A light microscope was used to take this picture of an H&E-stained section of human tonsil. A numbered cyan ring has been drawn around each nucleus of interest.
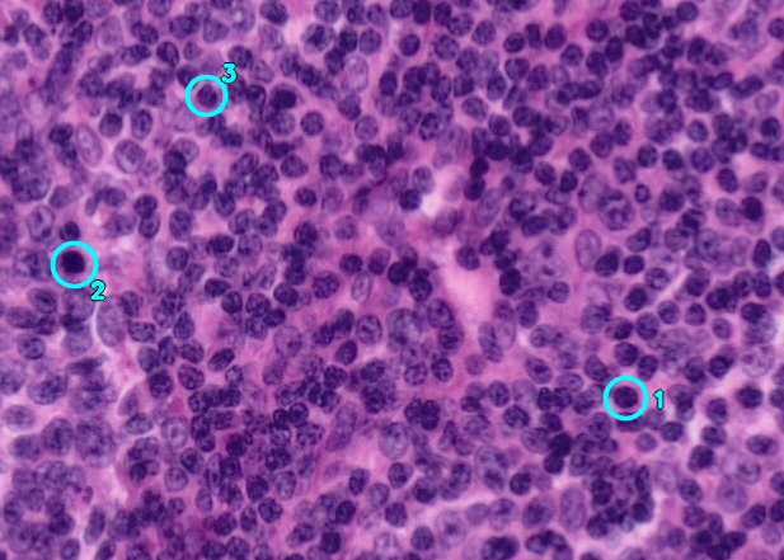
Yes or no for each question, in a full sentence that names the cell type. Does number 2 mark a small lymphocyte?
No, cell 2 is identified not as a small lymphocyte but as a proliferating B cell.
